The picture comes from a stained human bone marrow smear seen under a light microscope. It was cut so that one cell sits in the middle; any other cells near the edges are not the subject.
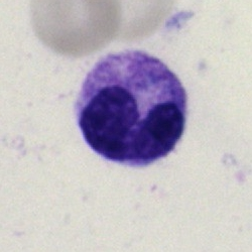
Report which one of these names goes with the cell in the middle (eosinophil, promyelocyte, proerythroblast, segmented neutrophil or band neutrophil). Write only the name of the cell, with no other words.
segmented neutrophil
